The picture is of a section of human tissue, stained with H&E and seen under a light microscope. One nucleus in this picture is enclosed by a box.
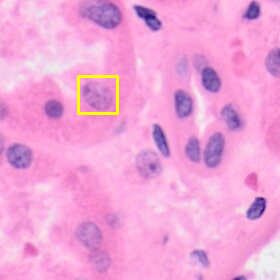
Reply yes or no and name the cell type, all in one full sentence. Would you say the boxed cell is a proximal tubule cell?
Yes, when classified by type, the boxed cell is a proximal tubule cell.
